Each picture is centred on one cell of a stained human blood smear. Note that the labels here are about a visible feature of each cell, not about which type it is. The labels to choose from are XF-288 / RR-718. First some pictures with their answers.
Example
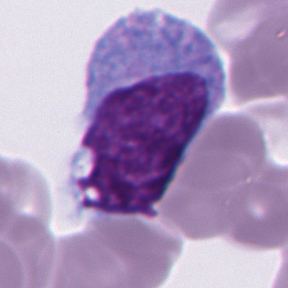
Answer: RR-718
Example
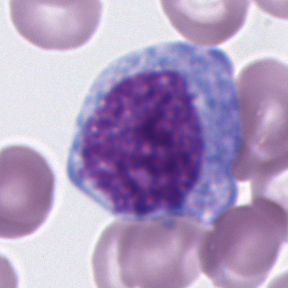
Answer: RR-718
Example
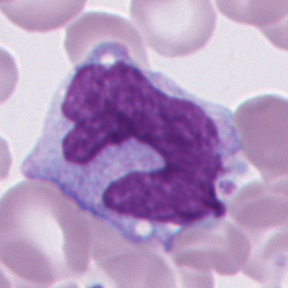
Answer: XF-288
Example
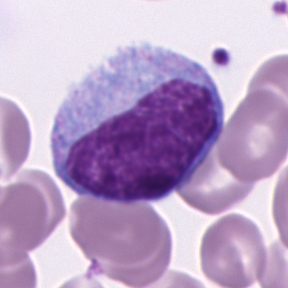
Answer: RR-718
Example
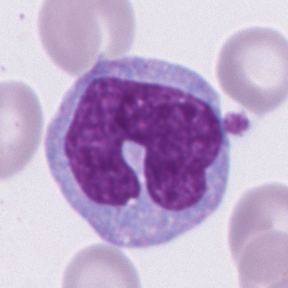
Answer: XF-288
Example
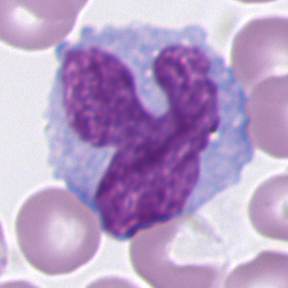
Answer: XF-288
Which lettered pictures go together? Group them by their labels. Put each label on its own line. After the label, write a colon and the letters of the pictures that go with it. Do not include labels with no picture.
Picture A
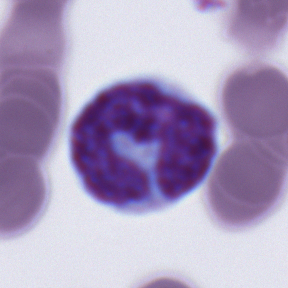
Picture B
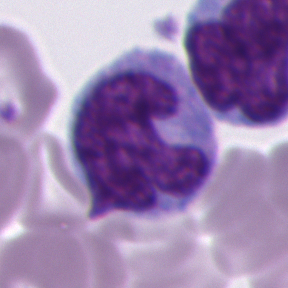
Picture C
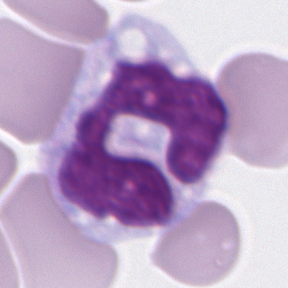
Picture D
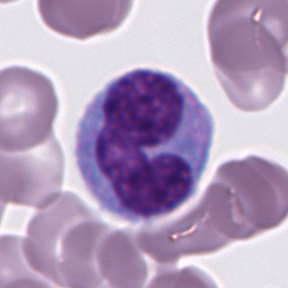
XF-288: A, B, C, D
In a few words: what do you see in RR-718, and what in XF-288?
Seen in RR-718: round or oval nucleus; seen in XF-288: band-shaped nucleus.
